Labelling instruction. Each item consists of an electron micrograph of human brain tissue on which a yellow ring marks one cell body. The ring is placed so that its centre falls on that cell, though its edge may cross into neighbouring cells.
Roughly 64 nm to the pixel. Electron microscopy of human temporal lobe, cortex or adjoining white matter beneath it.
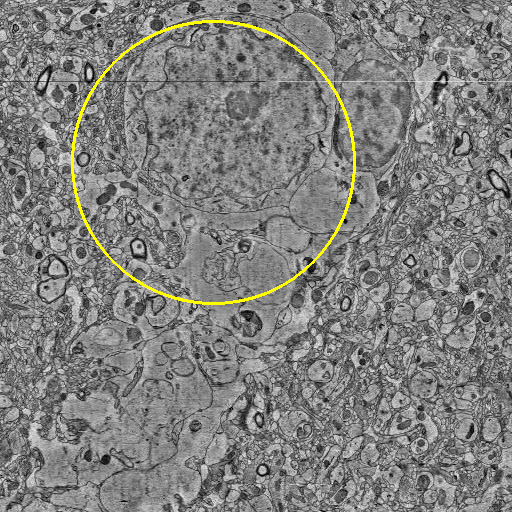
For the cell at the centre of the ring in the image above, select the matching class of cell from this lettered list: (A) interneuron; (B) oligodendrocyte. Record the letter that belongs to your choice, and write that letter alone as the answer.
A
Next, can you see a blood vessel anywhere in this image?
Yes.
